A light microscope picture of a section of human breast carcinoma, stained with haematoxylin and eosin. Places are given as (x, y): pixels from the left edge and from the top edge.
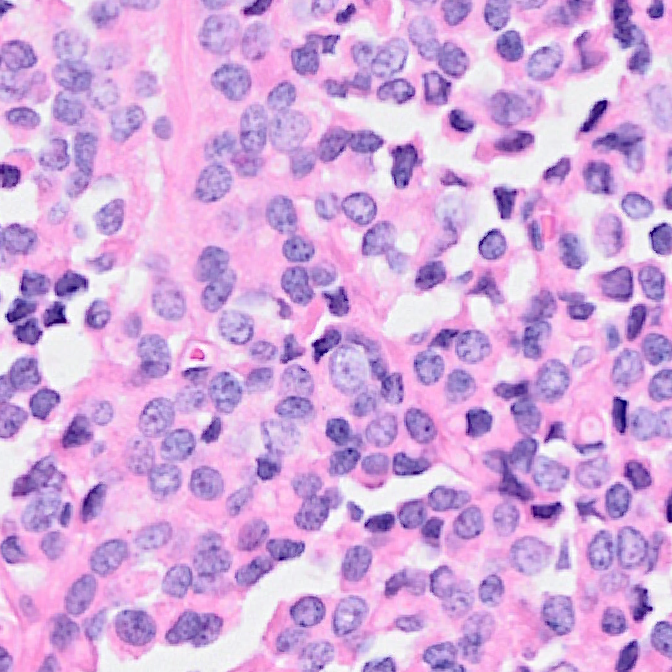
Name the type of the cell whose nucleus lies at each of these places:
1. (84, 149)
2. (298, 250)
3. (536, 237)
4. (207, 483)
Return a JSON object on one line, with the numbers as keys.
{"1": "carcinoma cell", "2": "carcinoma cell", "3": "endothelial cell", "4": "carcinoma cell"}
